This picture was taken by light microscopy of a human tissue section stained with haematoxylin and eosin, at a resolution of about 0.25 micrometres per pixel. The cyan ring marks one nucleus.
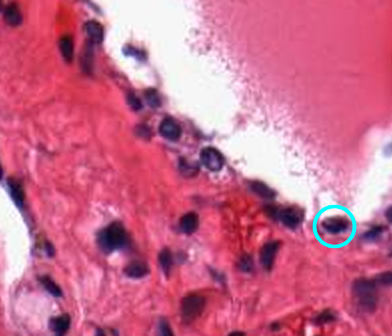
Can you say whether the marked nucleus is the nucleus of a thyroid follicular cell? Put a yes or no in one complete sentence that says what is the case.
Yes, the marked nucleus is housed in a thyroid follicular cell.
